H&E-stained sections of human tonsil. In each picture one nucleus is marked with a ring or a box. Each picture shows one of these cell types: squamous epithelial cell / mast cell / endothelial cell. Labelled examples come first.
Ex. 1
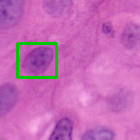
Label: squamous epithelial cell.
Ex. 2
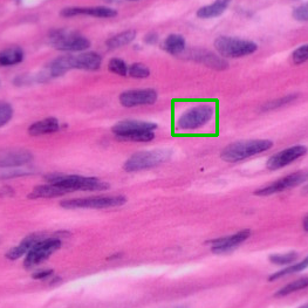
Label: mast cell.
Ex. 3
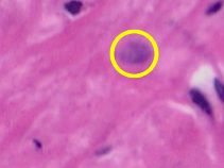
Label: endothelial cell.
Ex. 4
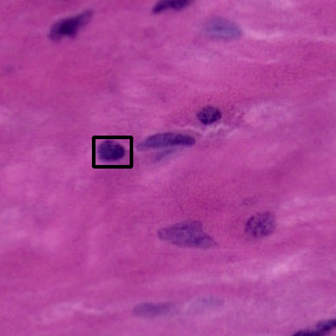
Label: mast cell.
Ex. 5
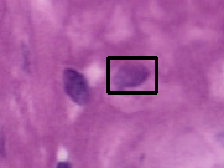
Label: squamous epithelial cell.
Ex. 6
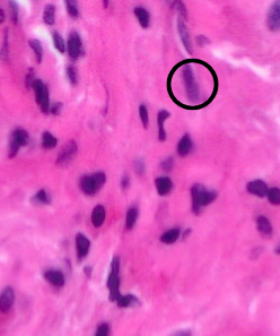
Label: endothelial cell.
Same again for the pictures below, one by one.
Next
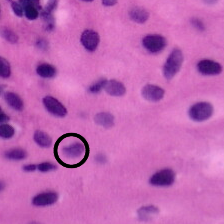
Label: squamous epithelial cell.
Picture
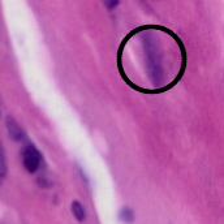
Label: endothelial cell.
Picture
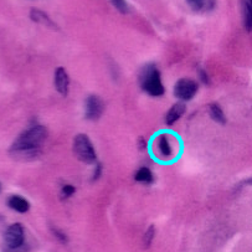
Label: mast cell.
